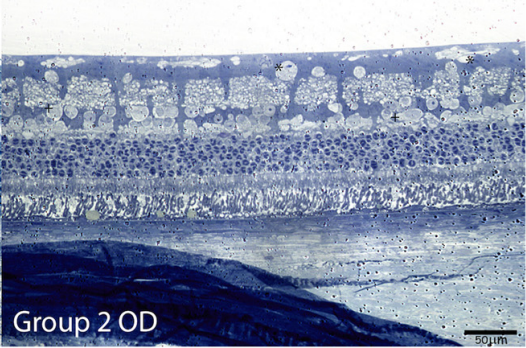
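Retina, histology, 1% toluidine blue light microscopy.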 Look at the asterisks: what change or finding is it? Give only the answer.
Focal areas of vacuolization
